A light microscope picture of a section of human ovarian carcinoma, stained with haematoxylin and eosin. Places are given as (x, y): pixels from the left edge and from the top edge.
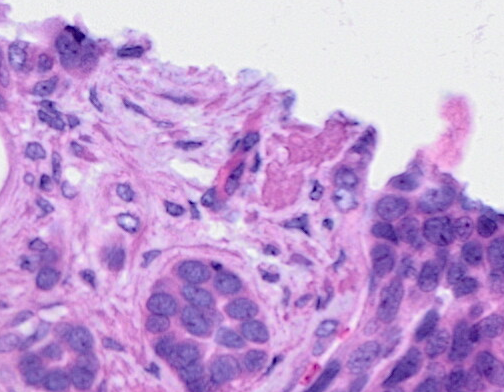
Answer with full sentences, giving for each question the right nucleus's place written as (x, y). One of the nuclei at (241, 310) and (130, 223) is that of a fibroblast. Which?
The correct choice is the nucleus at (130, 223), which belongs to a fibroblast.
